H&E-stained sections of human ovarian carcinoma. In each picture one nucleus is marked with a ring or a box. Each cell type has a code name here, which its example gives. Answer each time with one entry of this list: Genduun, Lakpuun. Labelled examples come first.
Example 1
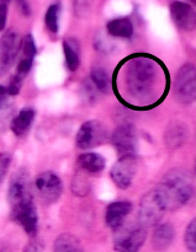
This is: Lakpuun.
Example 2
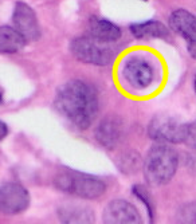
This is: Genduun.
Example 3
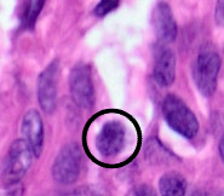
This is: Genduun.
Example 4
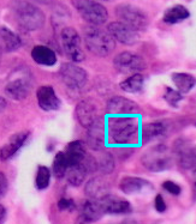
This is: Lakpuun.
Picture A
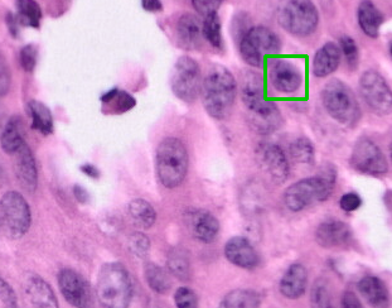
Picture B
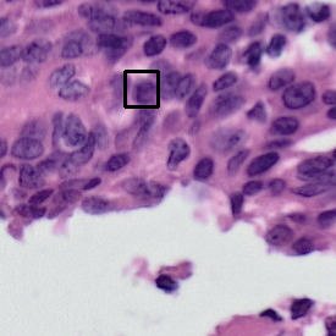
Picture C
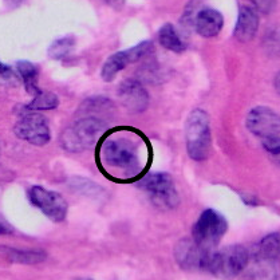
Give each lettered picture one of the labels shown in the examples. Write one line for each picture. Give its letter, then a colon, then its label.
A: Genduun.
B: Lakpuun.
C: Genduun.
